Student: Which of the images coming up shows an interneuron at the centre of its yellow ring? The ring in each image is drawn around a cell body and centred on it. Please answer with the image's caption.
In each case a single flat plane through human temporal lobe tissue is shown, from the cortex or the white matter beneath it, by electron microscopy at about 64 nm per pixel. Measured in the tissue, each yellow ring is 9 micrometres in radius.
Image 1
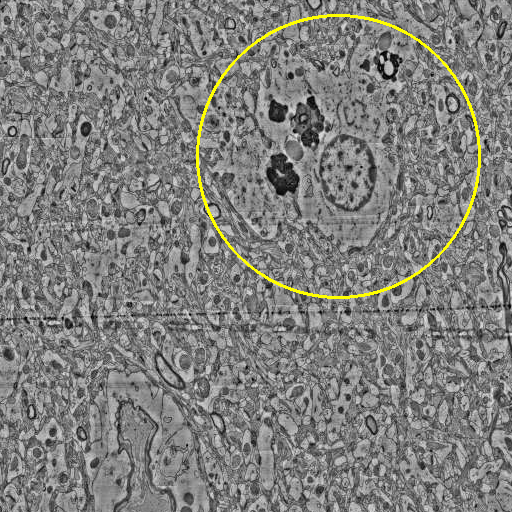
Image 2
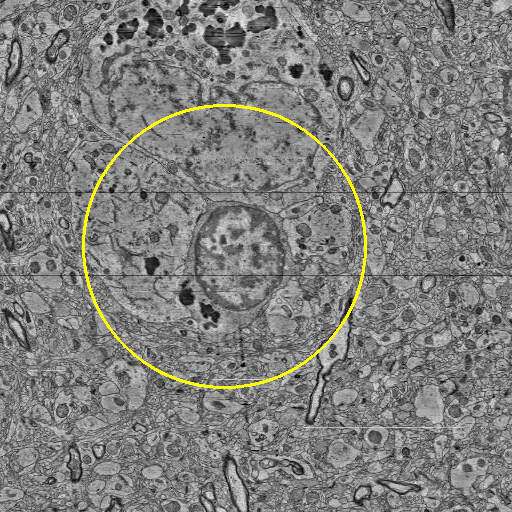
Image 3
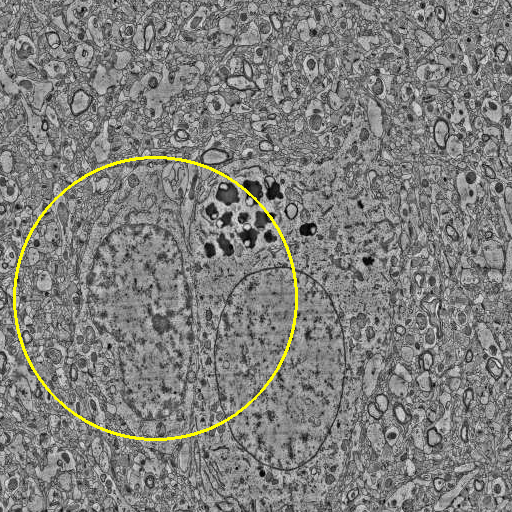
Image 3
